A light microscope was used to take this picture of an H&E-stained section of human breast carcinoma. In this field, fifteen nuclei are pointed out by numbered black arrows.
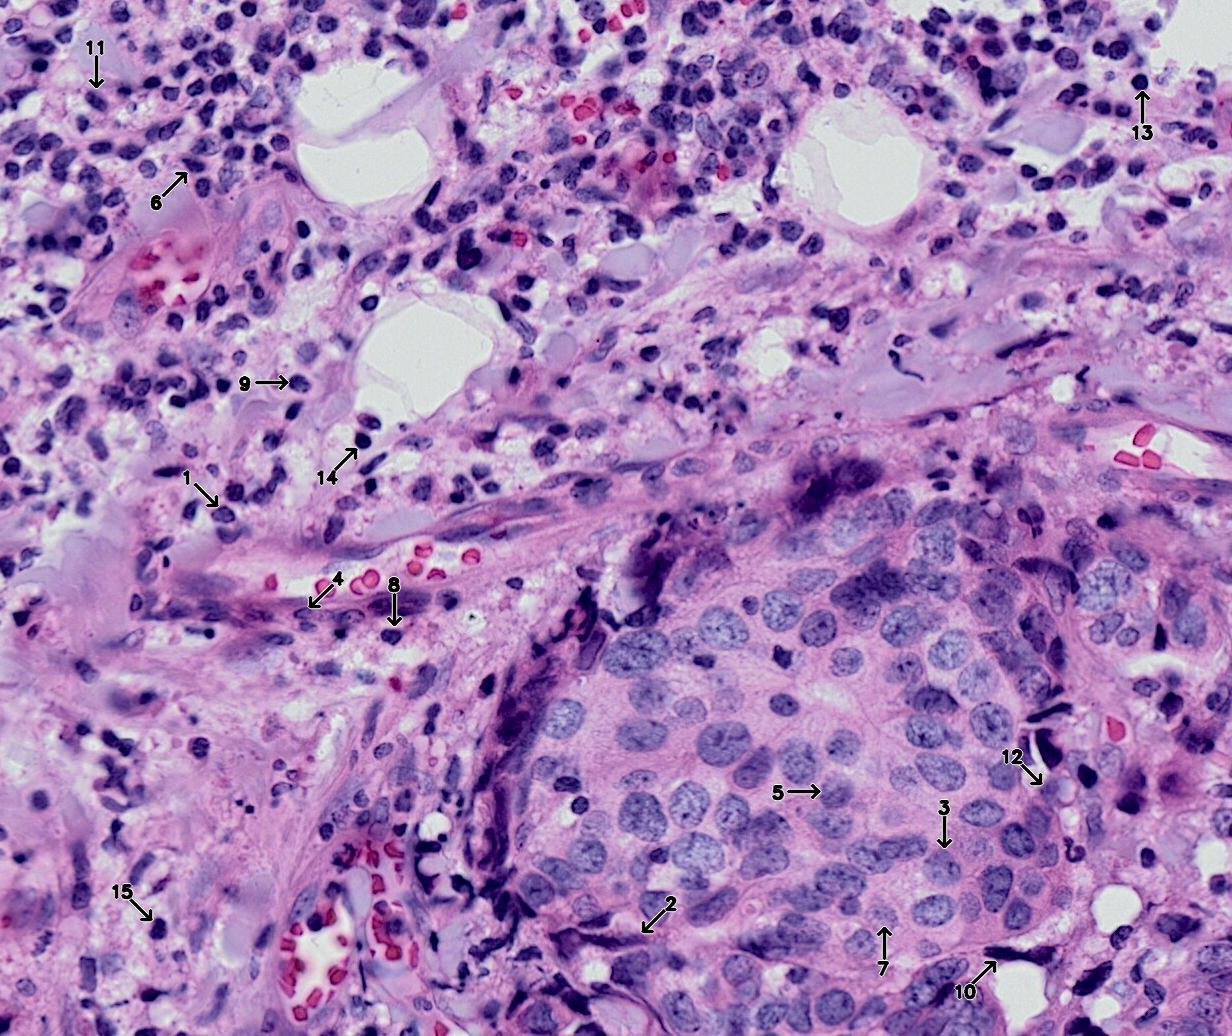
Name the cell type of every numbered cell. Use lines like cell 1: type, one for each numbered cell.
cell 1: lymphocyte
cell 2: carcinoma cell
cell 3: carcinoma cell
cell 4: endothelial cell
cell 5: carcinoma cell
cell 6: lymphocyte
cell 7: carcinoma cell
cell 8: lymphocyte
cell 9: lymphocyte
cell 10: carcinoma cell
cell 11: lymphocyte
cell 12: carcinoma cell
cell 13: lymphocyte
cell 14: lymphocyte
cell 15: lymphocyte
